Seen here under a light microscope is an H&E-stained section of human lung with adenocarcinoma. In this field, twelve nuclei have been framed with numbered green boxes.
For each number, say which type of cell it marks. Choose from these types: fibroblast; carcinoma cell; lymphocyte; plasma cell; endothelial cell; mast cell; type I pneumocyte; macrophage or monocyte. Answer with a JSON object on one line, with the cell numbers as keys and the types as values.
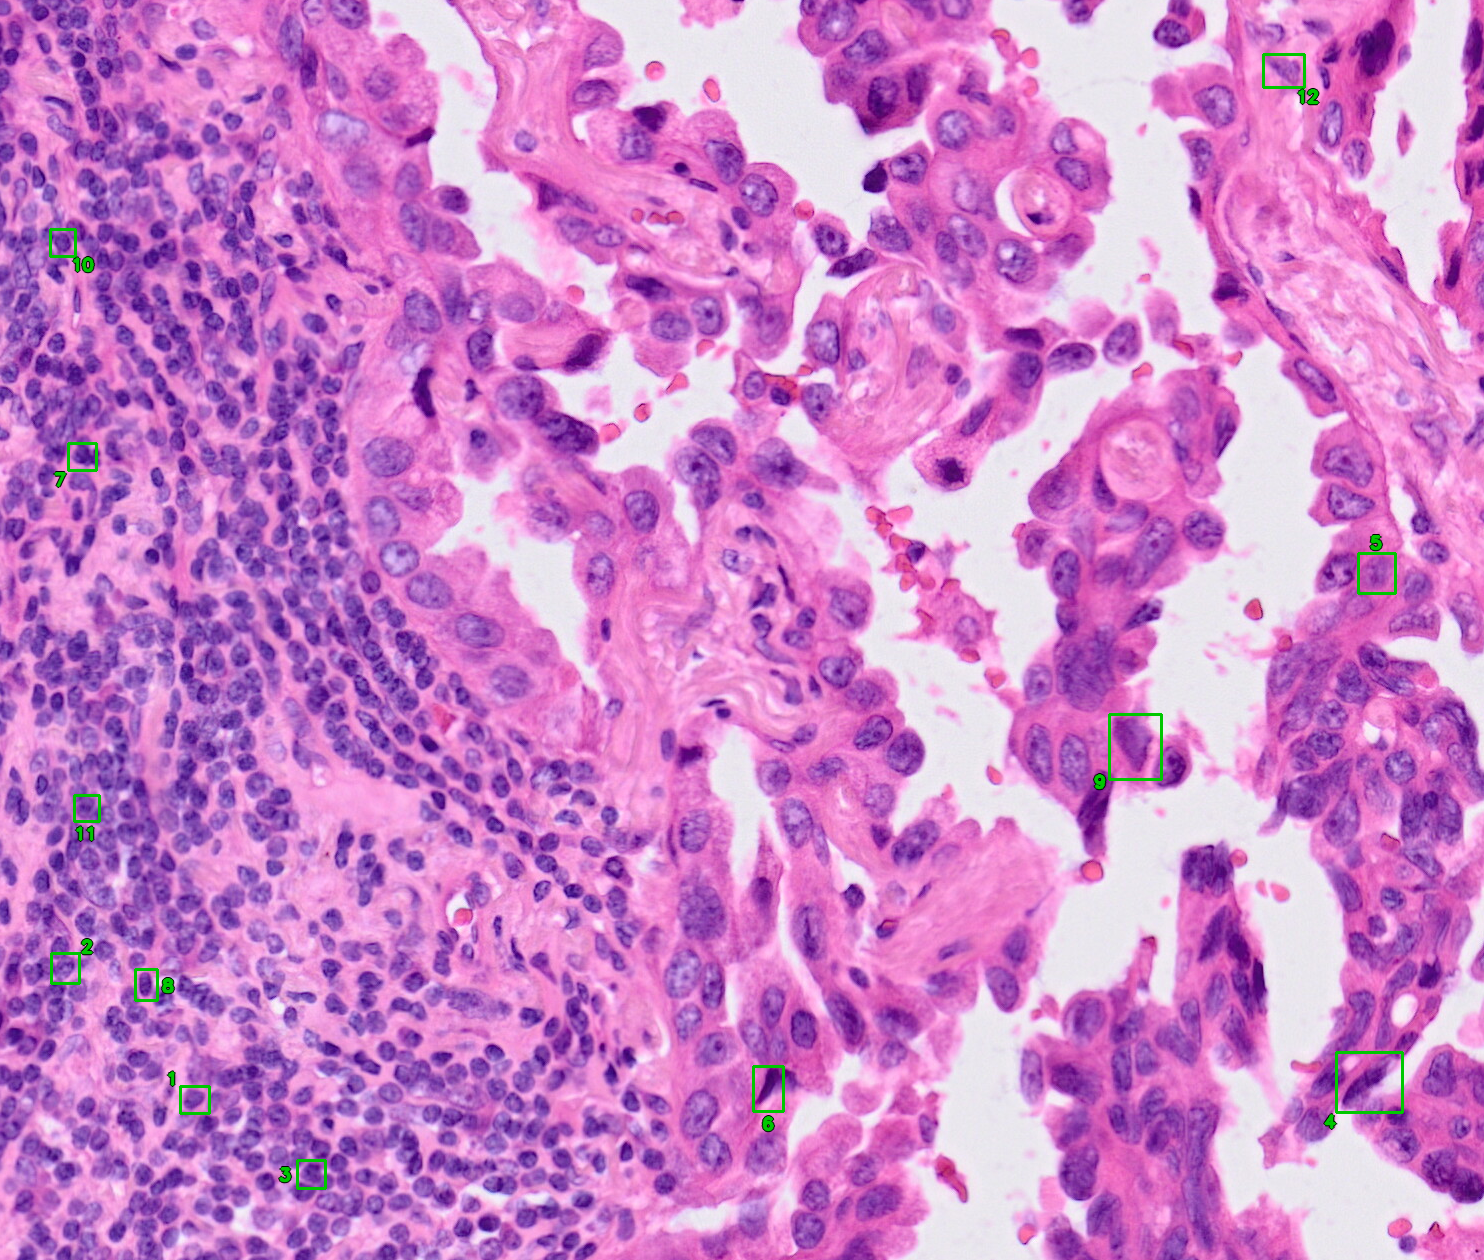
{"1": "lymphocyte", "2": "lymphocyte", "3": "lymphocyte", "4": "carcinoma cell", "5": "carcinoma cell", "6": "carcinoma cell", "7": "lymphocyte", "8": "lymphocyte", "9": "carcinoma cell", "10": "lymphocyte", "11": "lymphocyte", "12": "fibroblast"}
